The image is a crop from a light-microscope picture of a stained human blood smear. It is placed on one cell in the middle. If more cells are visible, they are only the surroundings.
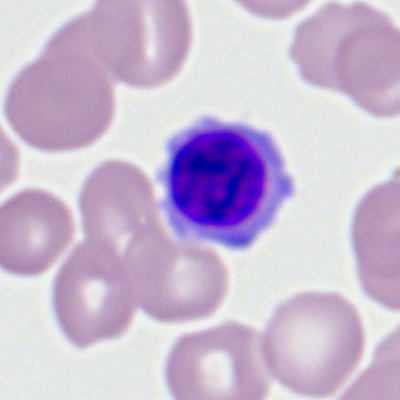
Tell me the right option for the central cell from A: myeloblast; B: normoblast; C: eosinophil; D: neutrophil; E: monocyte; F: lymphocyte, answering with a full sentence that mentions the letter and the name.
The central cell of the crop is a normoblast, which makes B the correct option.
